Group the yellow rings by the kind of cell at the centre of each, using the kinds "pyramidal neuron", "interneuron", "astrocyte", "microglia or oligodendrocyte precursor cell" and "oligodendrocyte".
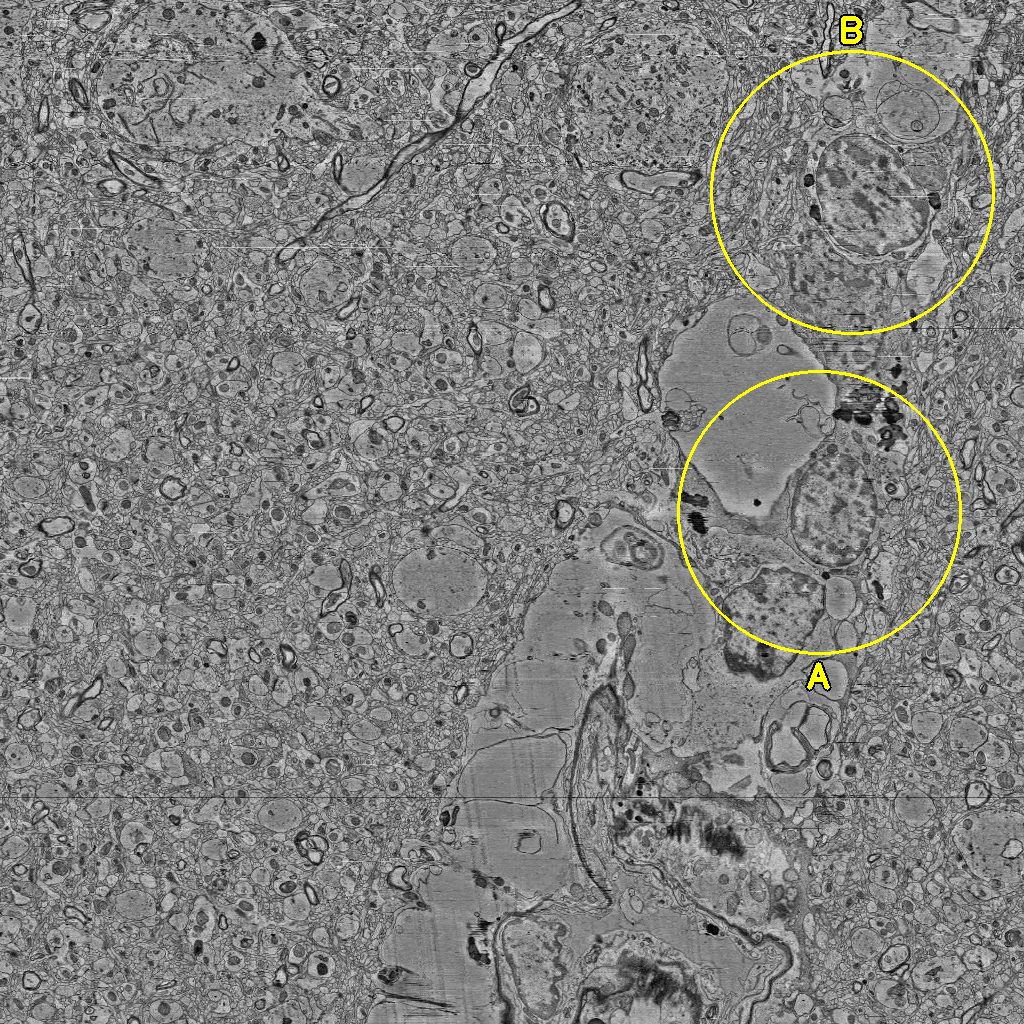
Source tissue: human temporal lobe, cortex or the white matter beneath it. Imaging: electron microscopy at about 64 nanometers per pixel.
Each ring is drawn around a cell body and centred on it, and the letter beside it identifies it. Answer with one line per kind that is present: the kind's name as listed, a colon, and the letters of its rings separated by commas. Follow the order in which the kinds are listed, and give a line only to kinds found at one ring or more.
microglia or oligodendrocyte precursor cell: B
oligodendrocyte: A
